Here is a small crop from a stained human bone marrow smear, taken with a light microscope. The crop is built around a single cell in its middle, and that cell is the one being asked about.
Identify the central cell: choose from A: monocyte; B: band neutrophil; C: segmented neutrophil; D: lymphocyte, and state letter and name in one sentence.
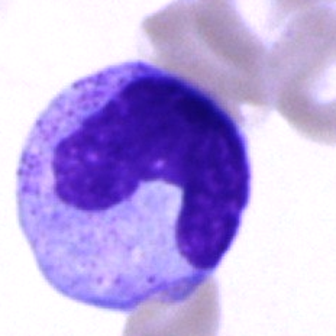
Seen at the centre of the crop is a band neutrophil, so option B is correct.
